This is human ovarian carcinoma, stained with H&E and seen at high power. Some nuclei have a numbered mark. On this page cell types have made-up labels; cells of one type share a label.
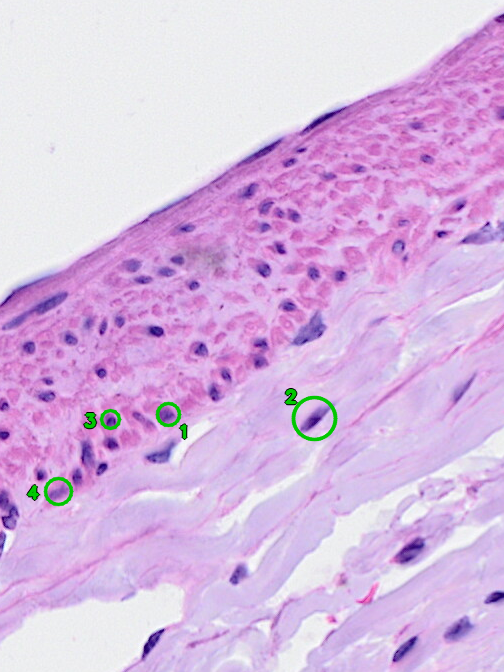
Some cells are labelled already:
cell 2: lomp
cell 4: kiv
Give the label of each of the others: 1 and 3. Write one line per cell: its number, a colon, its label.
1: kiv
3: kiv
